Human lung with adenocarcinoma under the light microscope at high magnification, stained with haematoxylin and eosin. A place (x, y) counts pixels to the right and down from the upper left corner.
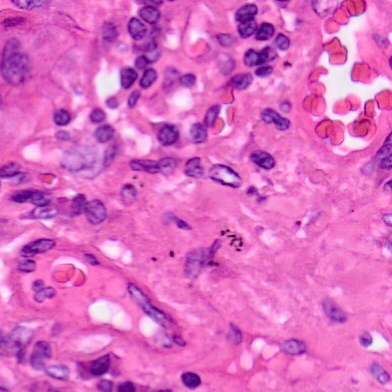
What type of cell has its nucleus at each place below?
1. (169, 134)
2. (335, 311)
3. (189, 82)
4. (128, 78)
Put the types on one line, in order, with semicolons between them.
plasma cell; fibroblast; lymphocyte; lymphocyte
